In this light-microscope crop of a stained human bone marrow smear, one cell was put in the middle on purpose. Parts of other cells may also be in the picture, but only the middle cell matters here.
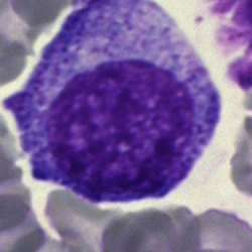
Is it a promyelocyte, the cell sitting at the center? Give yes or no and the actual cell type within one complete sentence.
Yes, in the centre of this field sits a promyelocyte.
